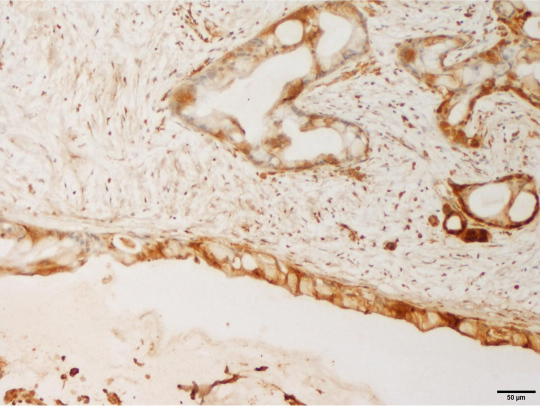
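Tumor tissue with tumor cells forming irregular glands with open lumina set in pale fibrous stroma. The epithelial cells lining the glands, including a long band along a large lumen at the bottom, are strongly stained dark brown in the cytoplasm and at the cell borders. The surrounding stroma contains scattered spindle-shaped cells with small elongated nuclei.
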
